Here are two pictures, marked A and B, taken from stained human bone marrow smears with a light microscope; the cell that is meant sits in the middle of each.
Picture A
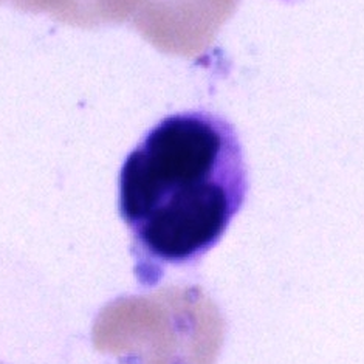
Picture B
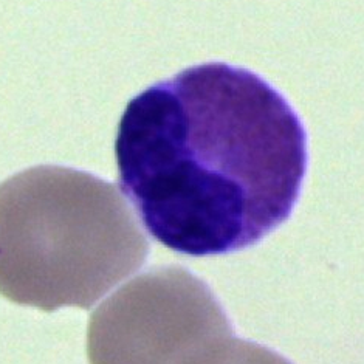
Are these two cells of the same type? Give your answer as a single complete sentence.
No. Picture A shows a segmented neutrophil, but picture B shows an eosinophil.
